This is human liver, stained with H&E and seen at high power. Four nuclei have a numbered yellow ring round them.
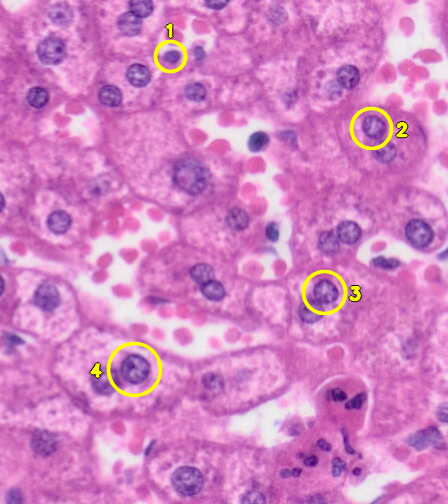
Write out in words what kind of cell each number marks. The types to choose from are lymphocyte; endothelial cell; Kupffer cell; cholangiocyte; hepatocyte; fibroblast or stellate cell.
Cell 1 is a lymphocyte, cell 2 is a hepatocyte, cell 3 is a hepatocyte and cell 4 is a hepatocyte.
